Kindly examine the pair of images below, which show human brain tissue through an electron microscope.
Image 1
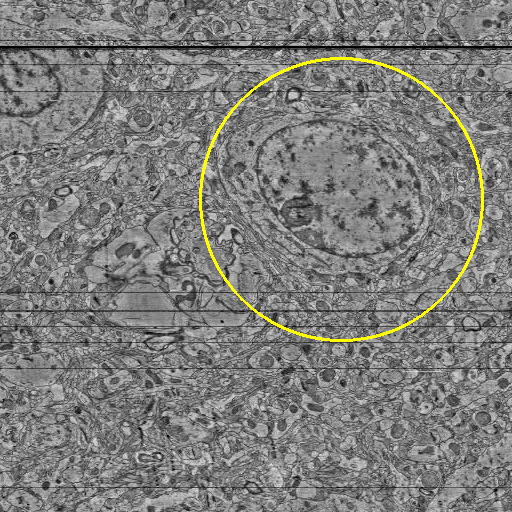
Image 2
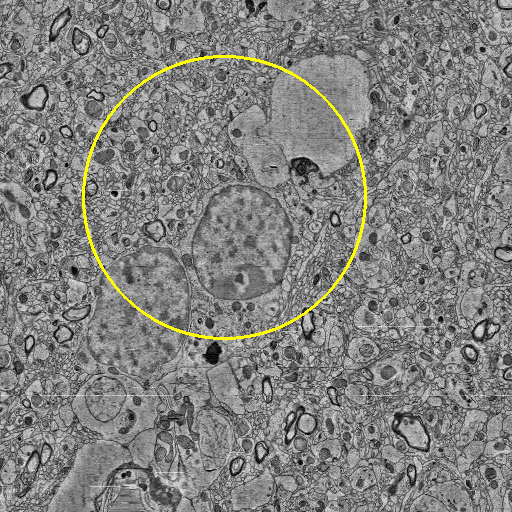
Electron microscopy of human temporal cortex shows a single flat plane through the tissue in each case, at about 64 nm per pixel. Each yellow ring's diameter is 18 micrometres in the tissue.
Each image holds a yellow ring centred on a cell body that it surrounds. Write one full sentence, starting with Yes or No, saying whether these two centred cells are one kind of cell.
No, the cells at the centres of the yellow rings belong to two kinds of cell.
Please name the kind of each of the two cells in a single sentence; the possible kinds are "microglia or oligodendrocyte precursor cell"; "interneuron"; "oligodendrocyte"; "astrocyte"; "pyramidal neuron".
In the first picture the ring is centred on a pyramidal neuron, and in the second on an oligodendrocyte.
